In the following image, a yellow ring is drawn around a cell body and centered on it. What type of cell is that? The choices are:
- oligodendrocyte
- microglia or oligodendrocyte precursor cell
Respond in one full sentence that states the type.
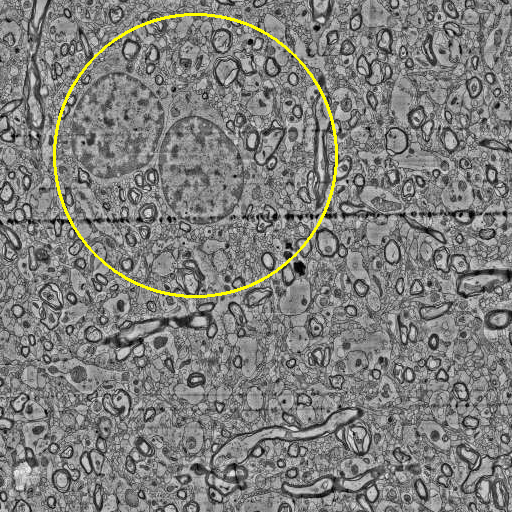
The cell at the center of the yellow ring in the image is an oligodendrocyte.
